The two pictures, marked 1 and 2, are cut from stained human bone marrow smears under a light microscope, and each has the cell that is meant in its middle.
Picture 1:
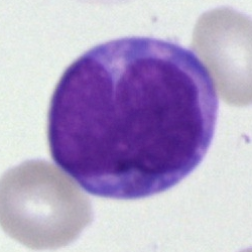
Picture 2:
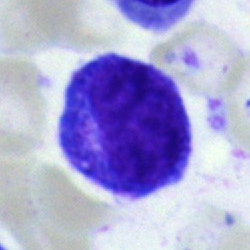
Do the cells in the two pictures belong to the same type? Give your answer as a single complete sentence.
No, picture 1 shows a blast and picture 2 shows a promyelocyte.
